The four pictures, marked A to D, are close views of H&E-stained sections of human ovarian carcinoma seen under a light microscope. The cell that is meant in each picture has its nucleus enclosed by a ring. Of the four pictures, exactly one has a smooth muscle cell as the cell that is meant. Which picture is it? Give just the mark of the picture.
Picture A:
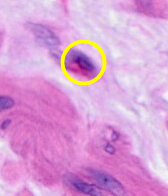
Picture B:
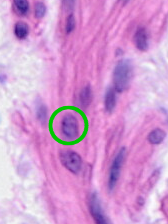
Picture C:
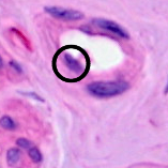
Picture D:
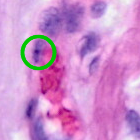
B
